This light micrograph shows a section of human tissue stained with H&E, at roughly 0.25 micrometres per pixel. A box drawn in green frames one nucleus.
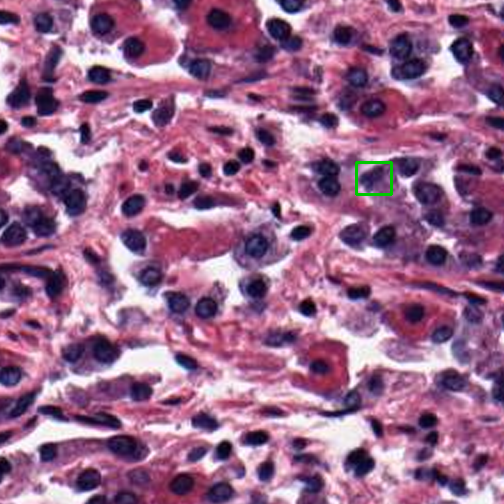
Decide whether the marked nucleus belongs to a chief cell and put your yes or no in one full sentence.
Yes, the marked nucleus is to be assigned to a chief cell.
